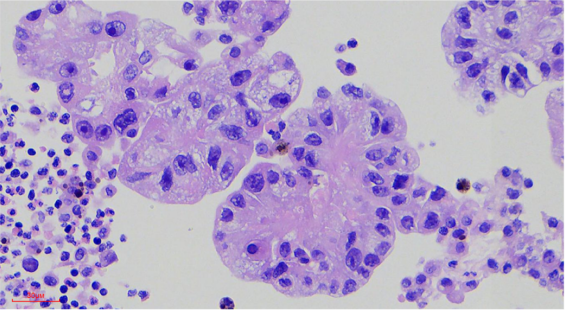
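Large cohesive clusters of tumor cells lie among many small, round, dark-nuclei cells scattered at the edges. The tumor cells form rounded, ball-like and gland-like groups, with nuclei arranged around the periphery and a pale pink center. Nuclei vary in size. A few brownish pigmented granules lie between the cell groups. The small scattered cells are far smaller than the tumor cells.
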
